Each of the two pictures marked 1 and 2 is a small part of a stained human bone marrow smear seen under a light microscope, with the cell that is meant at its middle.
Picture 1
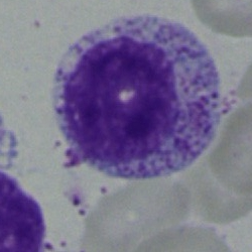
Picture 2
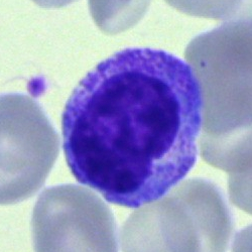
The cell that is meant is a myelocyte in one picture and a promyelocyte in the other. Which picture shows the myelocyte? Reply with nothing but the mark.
1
